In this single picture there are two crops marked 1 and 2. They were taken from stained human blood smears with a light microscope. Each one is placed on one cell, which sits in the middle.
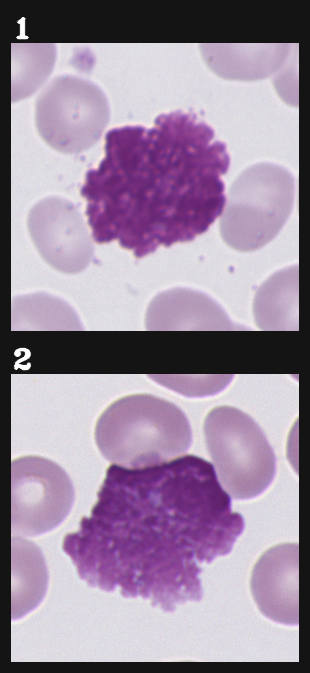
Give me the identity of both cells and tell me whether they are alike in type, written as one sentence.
Yes, in the case of both crops, the central cells are smudge cells.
